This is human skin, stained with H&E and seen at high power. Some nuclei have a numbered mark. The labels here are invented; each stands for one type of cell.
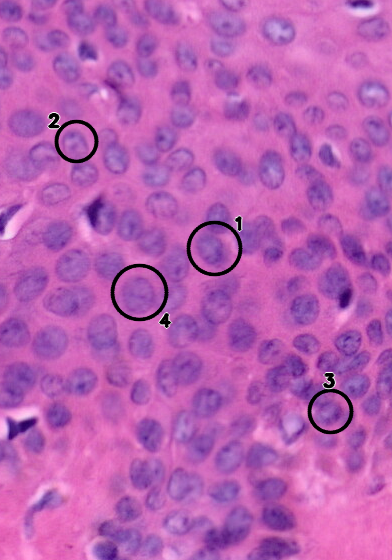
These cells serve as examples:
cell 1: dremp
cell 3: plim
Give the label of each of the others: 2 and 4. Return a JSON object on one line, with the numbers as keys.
{"2": "dremp", "4": "dremp"}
